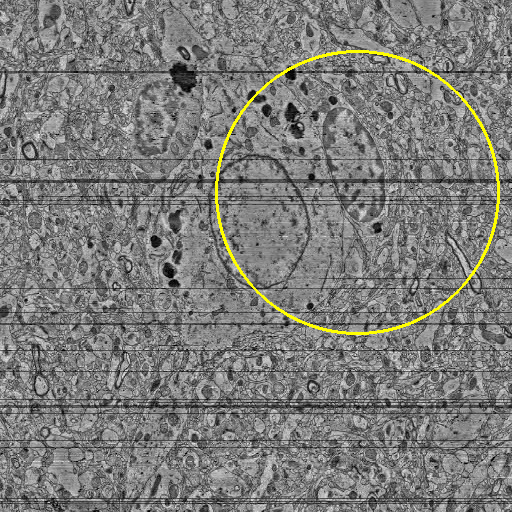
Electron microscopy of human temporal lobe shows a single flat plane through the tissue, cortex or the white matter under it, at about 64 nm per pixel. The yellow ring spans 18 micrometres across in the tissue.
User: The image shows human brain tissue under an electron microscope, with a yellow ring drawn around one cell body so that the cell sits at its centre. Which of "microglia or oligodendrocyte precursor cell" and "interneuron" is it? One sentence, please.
At the centre of the ring sits a microglial cell or oligodendrocyte precursor cell.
